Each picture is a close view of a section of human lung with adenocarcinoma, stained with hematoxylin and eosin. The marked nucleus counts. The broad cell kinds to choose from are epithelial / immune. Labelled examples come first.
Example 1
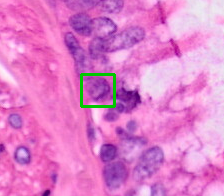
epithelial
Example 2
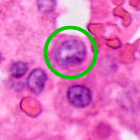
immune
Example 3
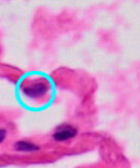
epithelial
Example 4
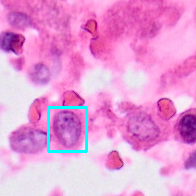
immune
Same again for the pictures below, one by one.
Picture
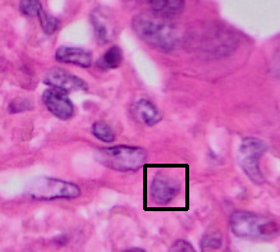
immune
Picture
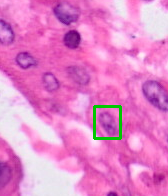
immune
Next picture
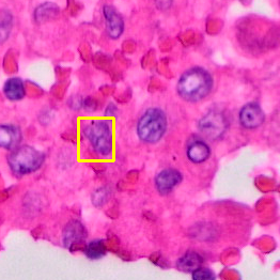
immune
